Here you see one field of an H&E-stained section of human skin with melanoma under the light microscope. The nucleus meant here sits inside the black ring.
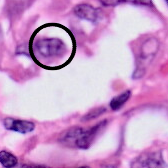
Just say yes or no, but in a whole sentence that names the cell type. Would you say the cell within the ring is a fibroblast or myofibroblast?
No, the cell within the ring is described as a melanoma cell and not as a fibroblast or myofibroblast.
